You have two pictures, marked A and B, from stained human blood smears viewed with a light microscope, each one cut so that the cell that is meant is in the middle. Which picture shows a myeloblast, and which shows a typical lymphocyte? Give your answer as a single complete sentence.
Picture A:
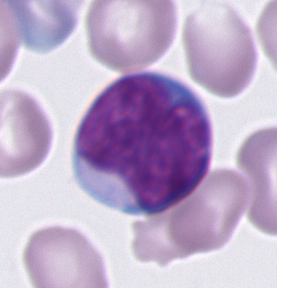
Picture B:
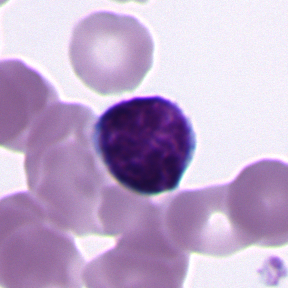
The cell in picture A is a myeloblast, and the one in picture B is a typical lymphocyte.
